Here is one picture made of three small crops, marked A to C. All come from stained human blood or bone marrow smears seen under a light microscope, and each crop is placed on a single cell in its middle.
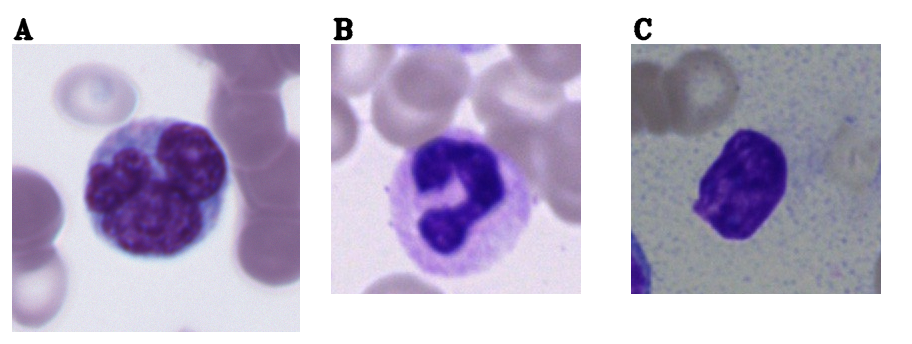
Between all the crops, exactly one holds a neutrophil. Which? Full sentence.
Only in crop B is a neutrophil shown.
